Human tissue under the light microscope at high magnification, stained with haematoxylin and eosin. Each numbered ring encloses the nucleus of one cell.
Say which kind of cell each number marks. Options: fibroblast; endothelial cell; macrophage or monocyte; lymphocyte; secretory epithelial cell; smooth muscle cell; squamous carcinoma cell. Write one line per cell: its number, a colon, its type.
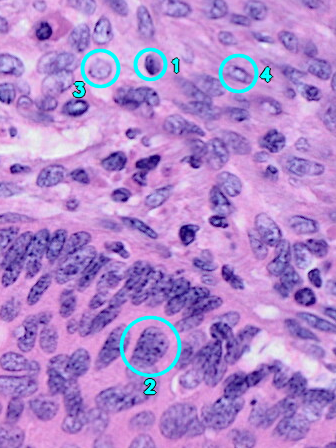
1: lymphocyte
2: squamous carcinoma cell
3: endothelial cell
4: smooth muscle cell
